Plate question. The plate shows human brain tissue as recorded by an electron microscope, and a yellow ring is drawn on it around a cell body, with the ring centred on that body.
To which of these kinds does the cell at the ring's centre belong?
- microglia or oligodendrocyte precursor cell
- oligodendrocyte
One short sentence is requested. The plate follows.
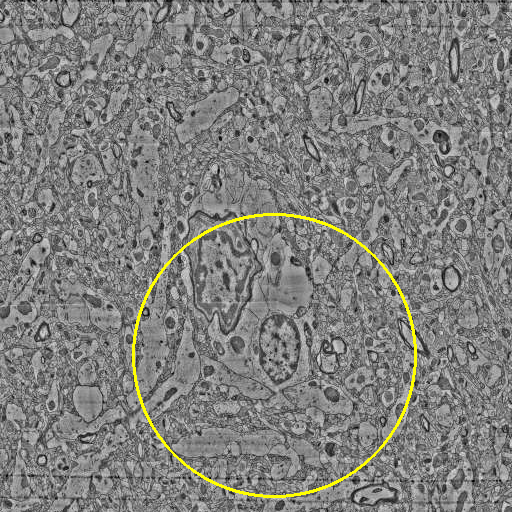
The cell at the ring's centre is a microglial cell or oligodendrocyte precursor cell.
